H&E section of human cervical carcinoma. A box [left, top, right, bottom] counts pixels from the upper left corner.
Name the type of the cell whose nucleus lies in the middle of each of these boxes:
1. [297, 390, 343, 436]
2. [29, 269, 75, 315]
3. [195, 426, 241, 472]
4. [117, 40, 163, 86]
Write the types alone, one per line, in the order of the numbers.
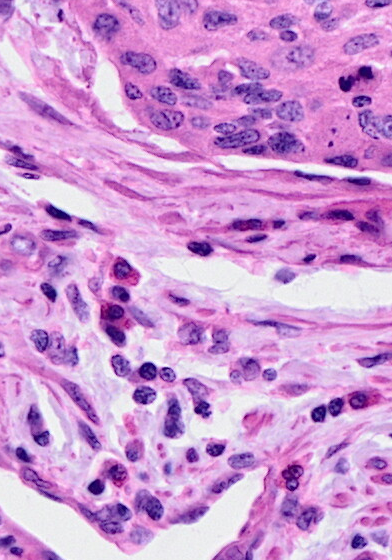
lymphocyte
lymphocyte
lymphocyte
squamous carcinoma cell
